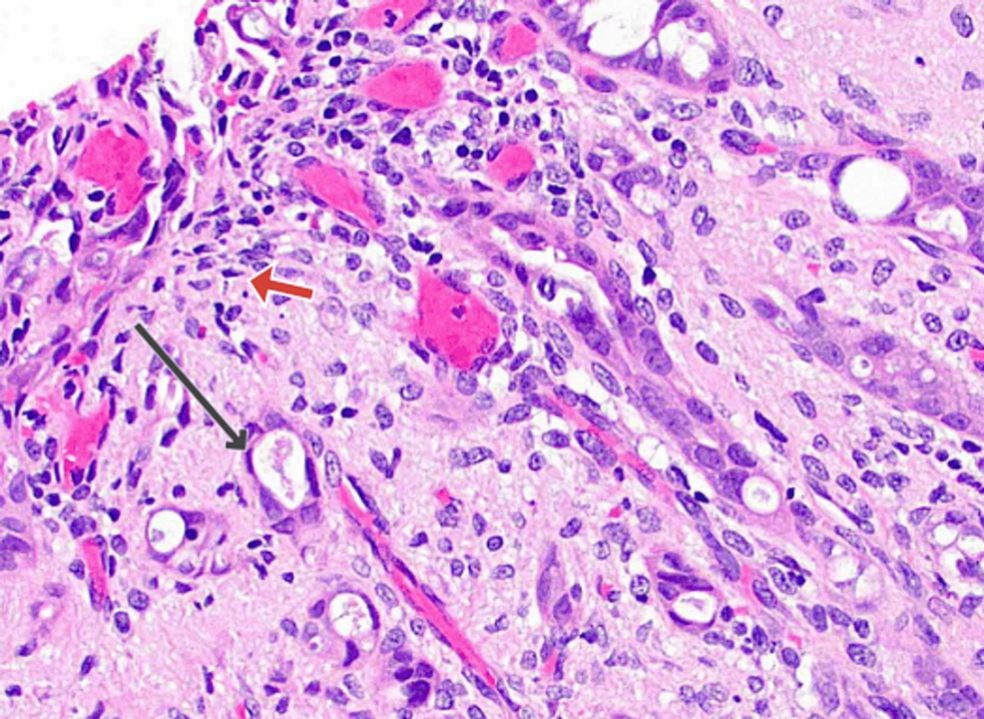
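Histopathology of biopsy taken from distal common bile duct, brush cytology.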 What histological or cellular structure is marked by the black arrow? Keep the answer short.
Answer: glandular structure formed by adenocarcinoma cells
